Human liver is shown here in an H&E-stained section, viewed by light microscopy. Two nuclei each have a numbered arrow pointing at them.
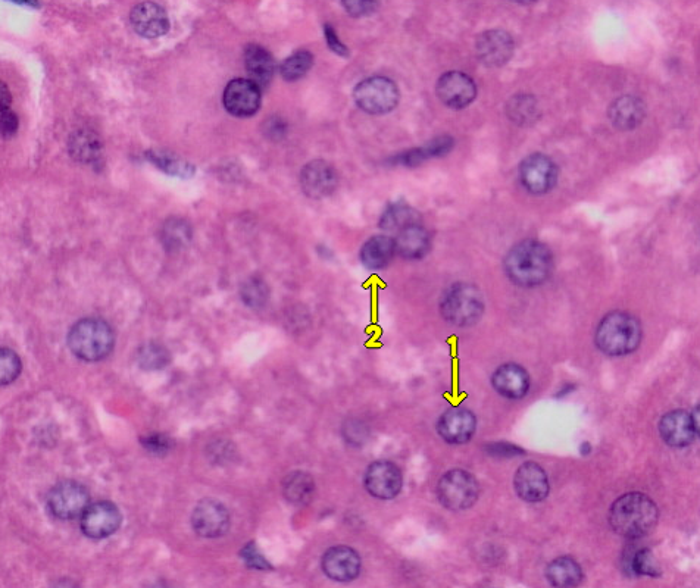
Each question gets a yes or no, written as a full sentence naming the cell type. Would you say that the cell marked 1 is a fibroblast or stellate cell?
No, the cell labelled 1 is a hepatocyte and not a fibroblast or stellate cell.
